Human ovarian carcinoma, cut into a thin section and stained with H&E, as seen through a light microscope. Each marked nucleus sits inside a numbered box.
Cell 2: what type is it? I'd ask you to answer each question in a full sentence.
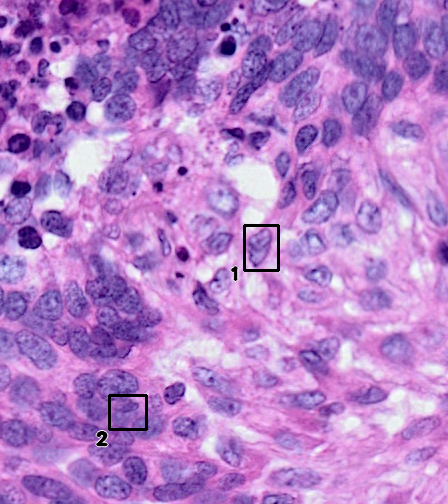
The cell that carries the label 2 is a carcinoma cell.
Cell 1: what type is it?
Of the numbered cells, the one labelled 1 is a fibroblast.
